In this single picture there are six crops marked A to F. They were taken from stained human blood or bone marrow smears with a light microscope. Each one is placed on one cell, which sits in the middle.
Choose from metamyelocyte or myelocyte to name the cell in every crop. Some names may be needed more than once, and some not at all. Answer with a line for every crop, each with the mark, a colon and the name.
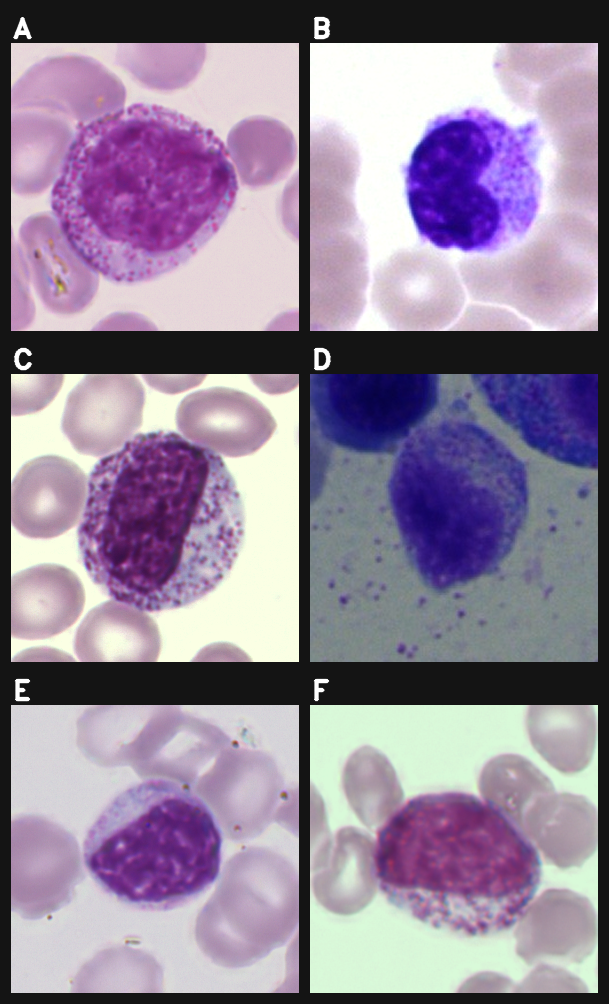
A: myelocyte
B: metamyelocyte
C: myelocyte
D: myelocyte
E: metamyelocyte
F: metamyelocyte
